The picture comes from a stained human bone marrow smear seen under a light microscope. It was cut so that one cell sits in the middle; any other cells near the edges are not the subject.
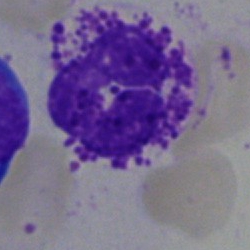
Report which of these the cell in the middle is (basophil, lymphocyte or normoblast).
basophil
